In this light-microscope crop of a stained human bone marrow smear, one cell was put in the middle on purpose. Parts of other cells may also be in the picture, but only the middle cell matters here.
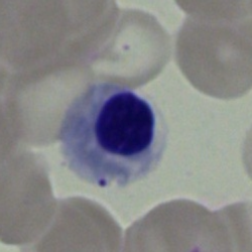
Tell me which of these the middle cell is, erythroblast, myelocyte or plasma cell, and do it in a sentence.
Whatever else lies nearby, the middle cell is an erythroblast.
